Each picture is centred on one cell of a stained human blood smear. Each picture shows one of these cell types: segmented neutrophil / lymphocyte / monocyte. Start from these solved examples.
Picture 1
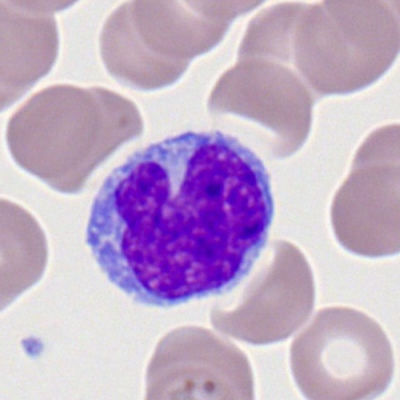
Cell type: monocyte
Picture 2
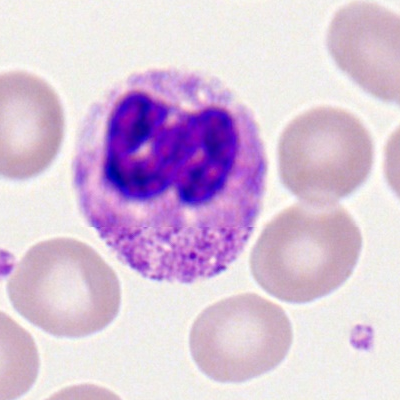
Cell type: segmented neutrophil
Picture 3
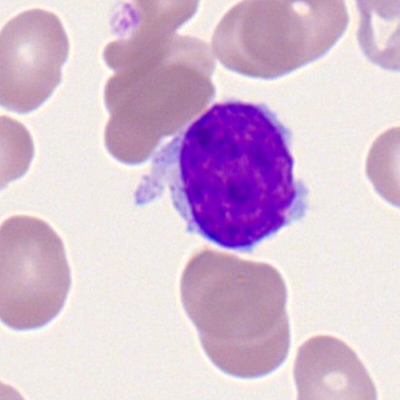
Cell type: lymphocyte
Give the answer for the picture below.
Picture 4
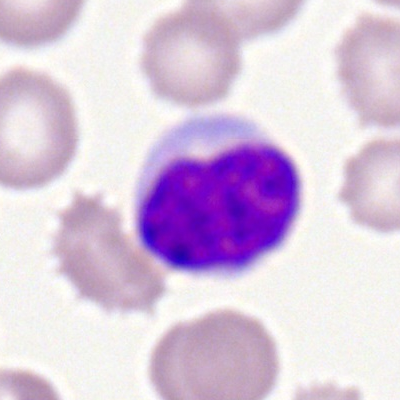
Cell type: lymphocyte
